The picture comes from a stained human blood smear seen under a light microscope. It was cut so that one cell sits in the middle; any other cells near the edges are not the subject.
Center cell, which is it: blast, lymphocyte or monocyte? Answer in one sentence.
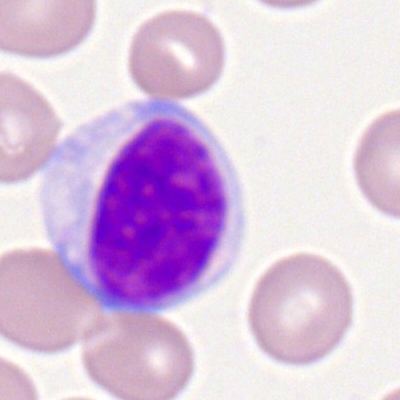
In this smear crop, the middle cell is a lymphocyte.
